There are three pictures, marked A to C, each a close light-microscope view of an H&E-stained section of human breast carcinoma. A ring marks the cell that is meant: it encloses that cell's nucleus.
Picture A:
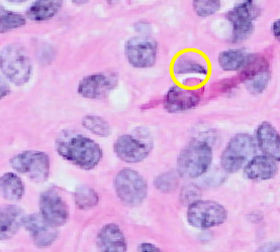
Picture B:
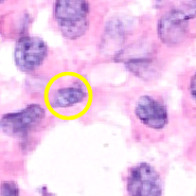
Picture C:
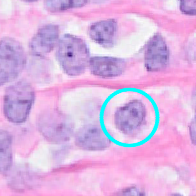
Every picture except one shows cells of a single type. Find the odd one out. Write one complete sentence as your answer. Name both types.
The others show endothelial cells, but picture C shows a carcinoma cell.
